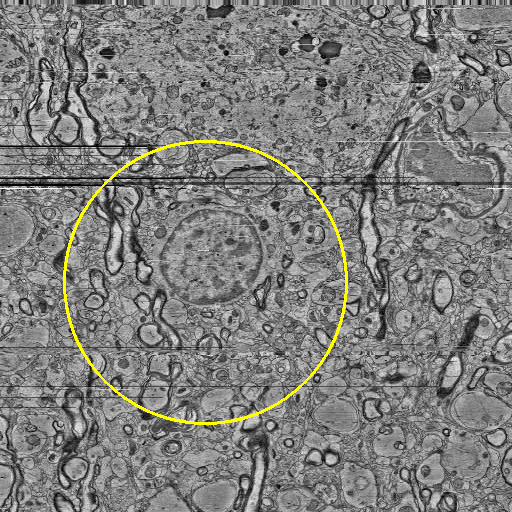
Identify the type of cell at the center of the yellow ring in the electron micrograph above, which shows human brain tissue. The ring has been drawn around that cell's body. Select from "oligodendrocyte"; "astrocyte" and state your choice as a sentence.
The yellow ring is centered on the body of an oligodendrocyte.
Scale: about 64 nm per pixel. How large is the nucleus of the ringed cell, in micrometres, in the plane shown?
In this plane, the nucleus of the cell at the centre of the ring is about 6 micrometres across.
